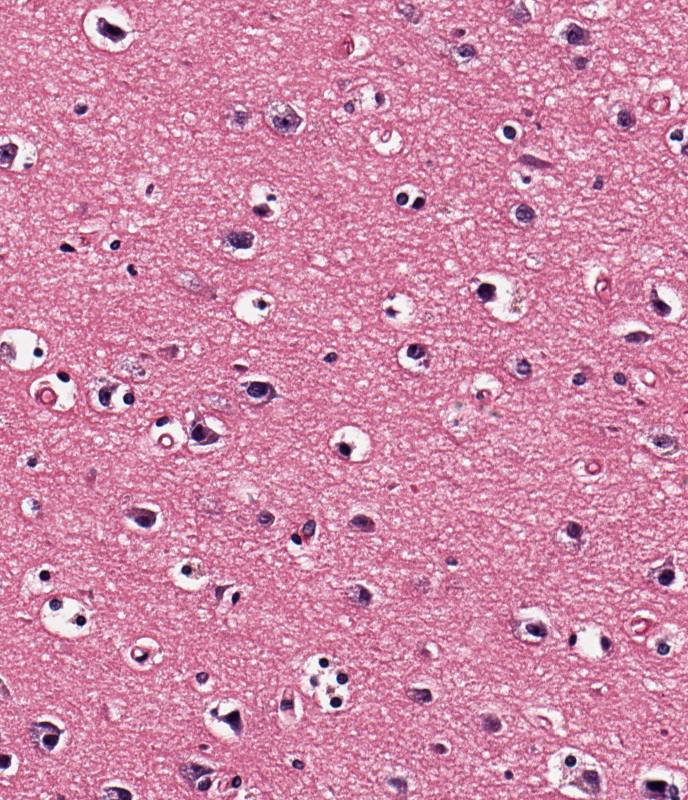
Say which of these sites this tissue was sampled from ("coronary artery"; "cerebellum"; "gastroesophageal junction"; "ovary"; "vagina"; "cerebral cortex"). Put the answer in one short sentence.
The site this tissue was sampled from is the cerebral cortex.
